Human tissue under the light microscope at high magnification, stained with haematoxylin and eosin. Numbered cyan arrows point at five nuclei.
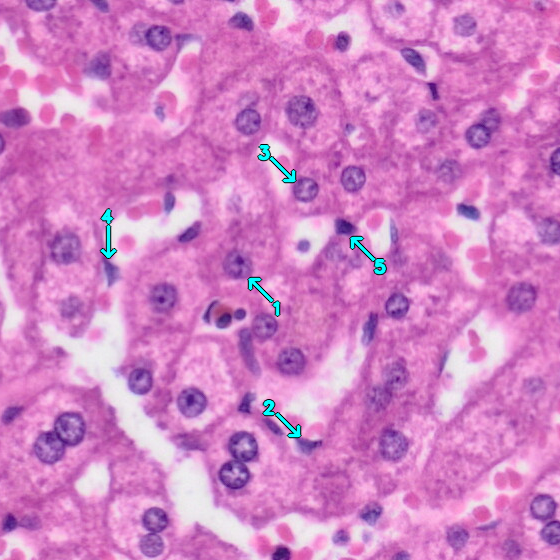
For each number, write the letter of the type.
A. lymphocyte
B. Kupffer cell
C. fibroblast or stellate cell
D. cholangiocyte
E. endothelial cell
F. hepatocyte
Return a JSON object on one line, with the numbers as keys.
{"1": "F", "2": "E", "3": "F", "4": "E", "5": "C"}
